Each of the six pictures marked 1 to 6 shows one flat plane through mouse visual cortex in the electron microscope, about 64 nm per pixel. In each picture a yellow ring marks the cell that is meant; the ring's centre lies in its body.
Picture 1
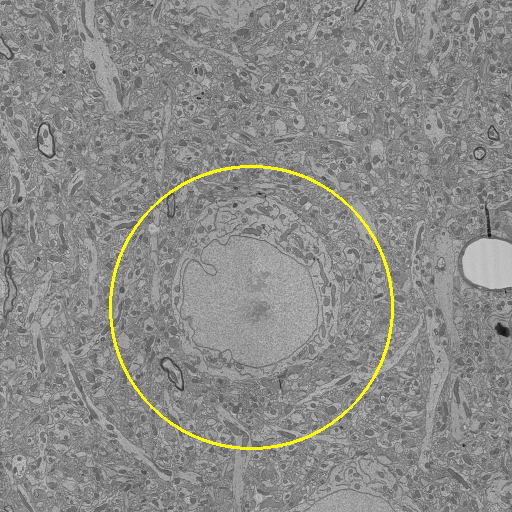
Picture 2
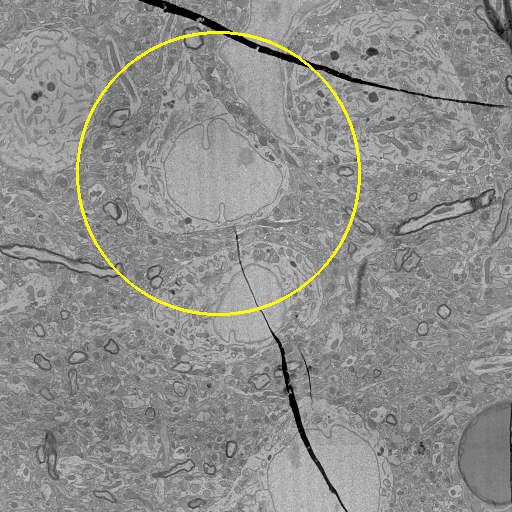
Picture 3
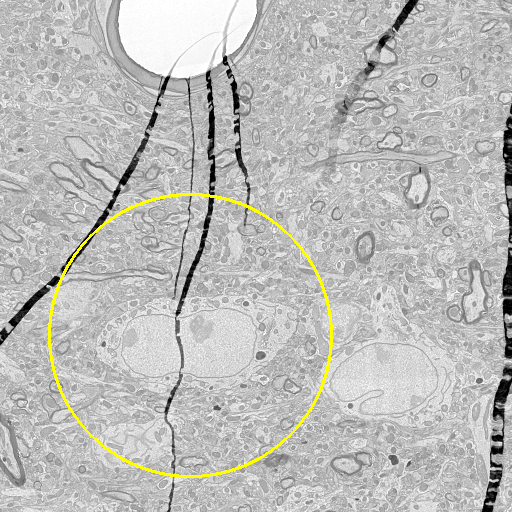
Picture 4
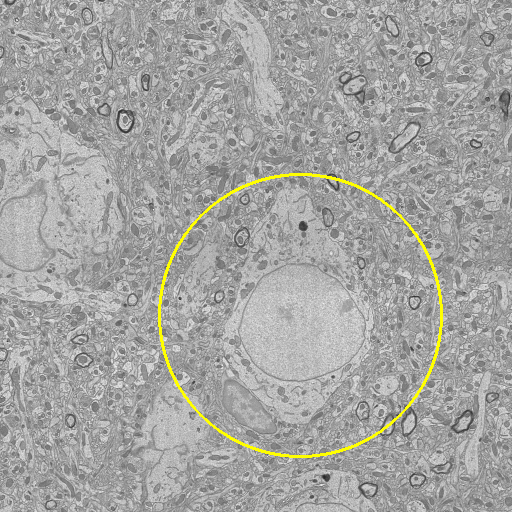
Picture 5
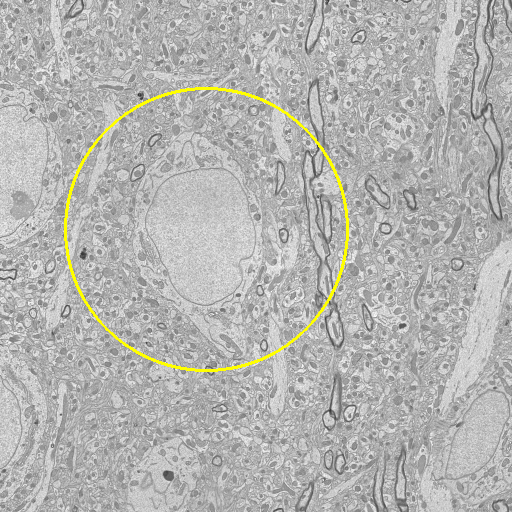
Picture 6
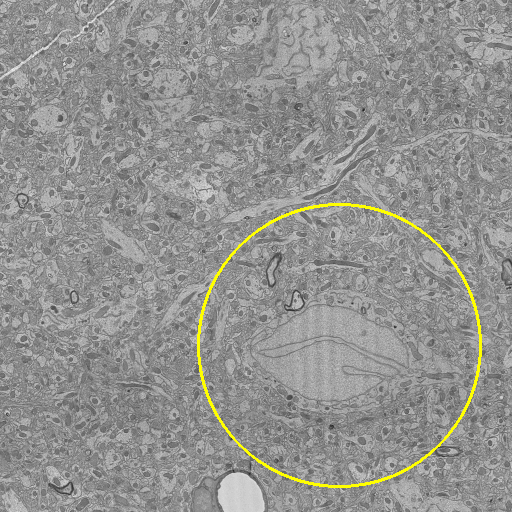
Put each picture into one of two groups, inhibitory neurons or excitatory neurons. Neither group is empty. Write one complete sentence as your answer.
Pictures 1 and 6 show inhibitory neurons; pictures 2, 3, 4 and 5 show excitatory neurons.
